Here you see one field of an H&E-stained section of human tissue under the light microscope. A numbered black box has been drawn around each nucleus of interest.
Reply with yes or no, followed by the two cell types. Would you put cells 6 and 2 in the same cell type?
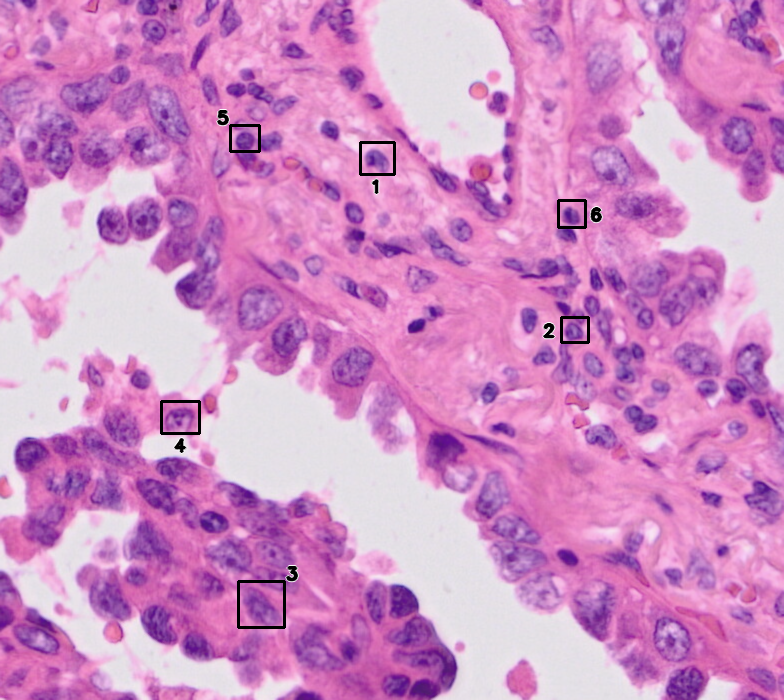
Yes, both are lymphocytes.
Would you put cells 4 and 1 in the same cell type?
No, cell 4 is a macrophage or monocyte and cell 1 is a lymphocyte.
